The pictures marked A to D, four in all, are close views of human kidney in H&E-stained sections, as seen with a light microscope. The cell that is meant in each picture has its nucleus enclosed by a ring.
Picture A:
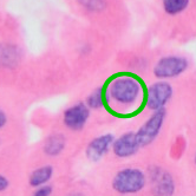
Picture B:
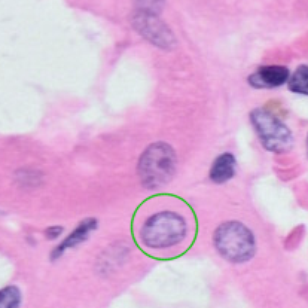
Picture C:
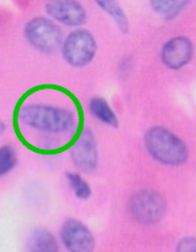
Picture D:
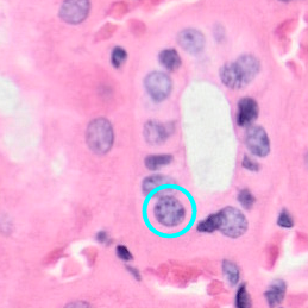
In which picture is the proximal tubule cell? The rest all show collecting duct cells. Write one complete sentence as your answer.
The cell in picture B is the proximal tubule cell.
